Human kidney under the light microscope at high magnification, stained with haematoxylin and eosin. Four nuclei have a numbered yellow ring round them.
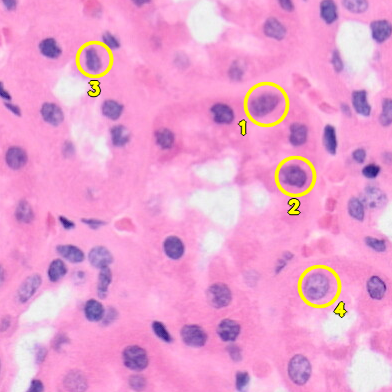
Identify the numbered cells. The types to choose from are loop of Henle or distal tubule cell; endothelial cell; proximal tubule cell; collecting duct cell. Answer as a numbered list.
1. proximal tubule cell
2. proximal tubule cell
3. loop of Henle or distal tubule cell
4. proximal tubule cell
